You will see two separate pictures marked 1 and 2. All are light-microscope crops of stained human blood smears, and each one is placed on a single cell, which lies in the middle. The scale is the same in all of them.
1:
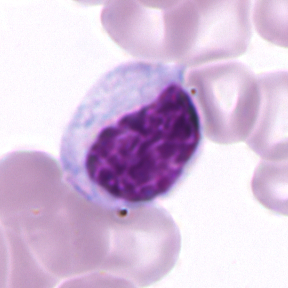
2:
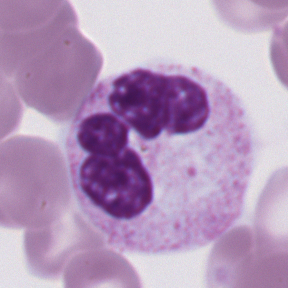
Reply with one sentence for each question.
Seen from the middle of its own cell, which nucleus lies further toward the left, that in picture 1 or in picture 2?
In picture 2 the nucleus is shifted more toward the left.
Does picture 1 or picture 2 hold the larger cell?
It is the cell in picture 2, about 1.5 times as large in area as the cell in picture 1.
